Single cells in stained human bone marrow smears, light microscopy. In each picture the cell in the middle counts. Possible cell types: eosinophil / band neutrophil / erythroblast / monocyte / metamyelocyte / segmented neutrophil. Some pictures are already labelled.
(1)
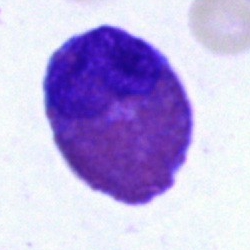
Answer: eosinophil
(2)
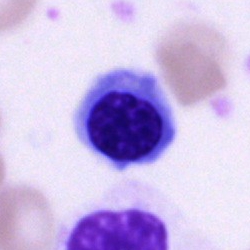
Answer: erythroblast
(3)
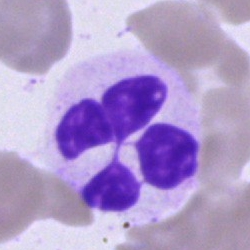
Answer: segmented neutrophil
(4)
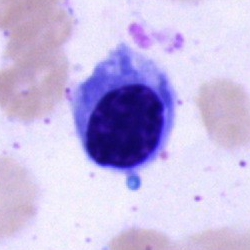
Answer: erythroblast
